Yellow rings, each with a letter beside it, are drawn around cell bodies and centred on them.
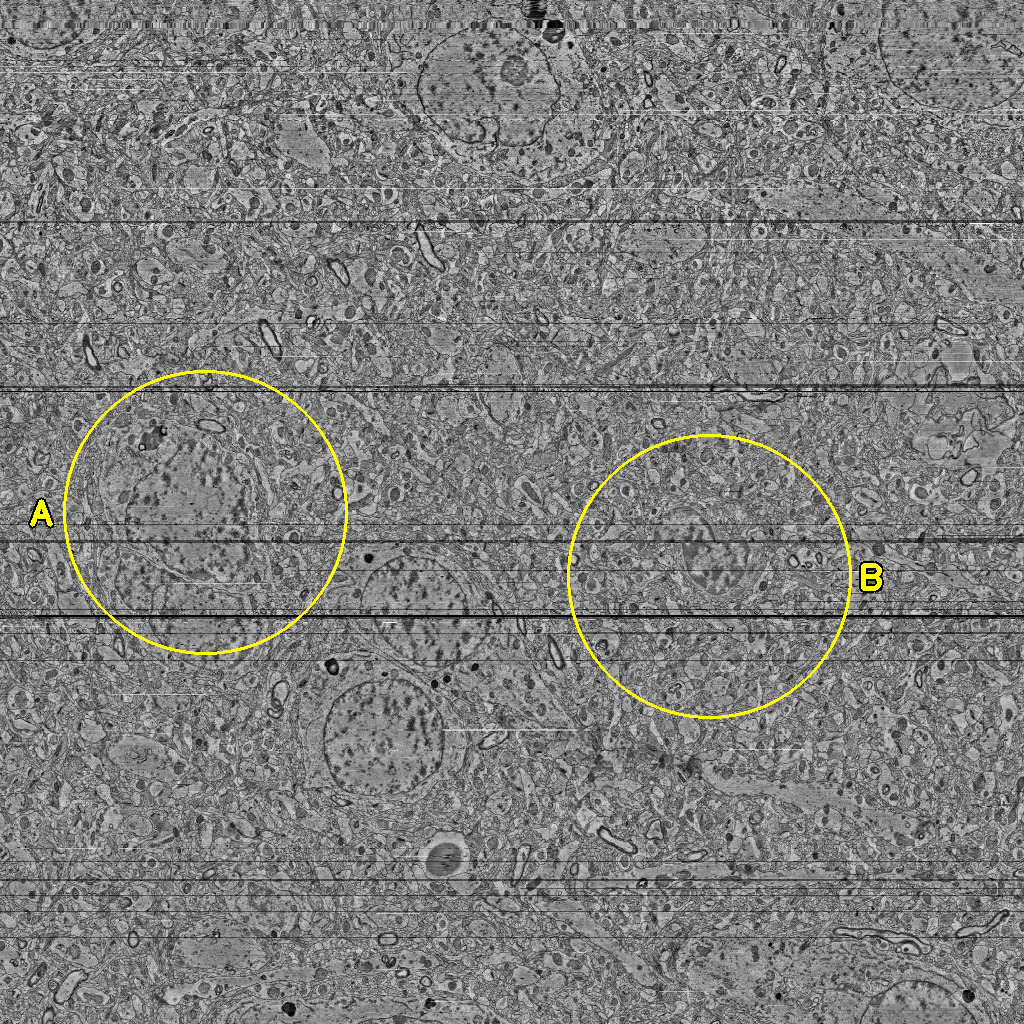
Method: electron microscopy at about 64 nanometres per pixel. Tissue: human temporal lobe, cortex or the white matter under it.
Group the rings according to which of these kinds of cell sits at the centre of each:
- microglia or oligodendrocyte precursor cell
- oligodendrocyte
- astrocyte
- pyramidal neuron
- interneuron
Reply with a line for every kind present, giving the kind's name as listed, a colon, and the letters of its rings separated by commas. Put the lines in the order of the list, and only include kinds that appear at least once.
oligodendrocyte: B
interneuron: A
